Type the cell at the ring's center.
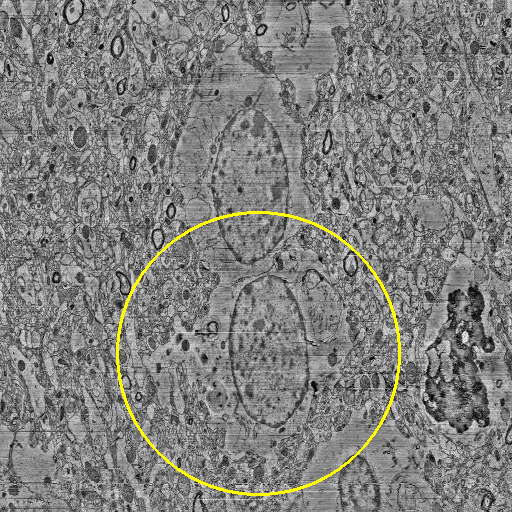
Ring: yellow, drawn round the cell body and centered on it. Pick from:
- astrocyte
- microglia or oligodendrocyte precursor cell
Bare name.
astrocyte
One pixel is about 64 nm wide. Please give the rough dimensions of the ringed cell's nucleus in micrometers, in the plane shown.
In this plane the nucleus is clearly longer than it is wide, at approximately 10 by 5 micrometres.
